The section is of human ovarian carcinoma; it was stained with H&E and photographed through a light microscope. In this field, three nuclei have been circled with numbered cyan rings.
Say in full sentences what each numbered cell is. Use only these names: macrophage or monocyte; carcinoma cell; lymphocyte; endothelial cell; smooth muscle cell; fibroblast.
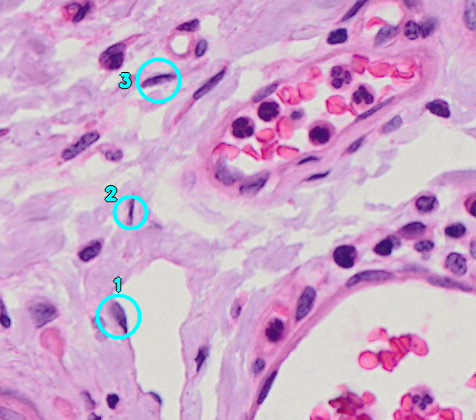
Cell 1 is an endothelial cell, cell 2 is a fibroblast and cell 3 is a fibroblast.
